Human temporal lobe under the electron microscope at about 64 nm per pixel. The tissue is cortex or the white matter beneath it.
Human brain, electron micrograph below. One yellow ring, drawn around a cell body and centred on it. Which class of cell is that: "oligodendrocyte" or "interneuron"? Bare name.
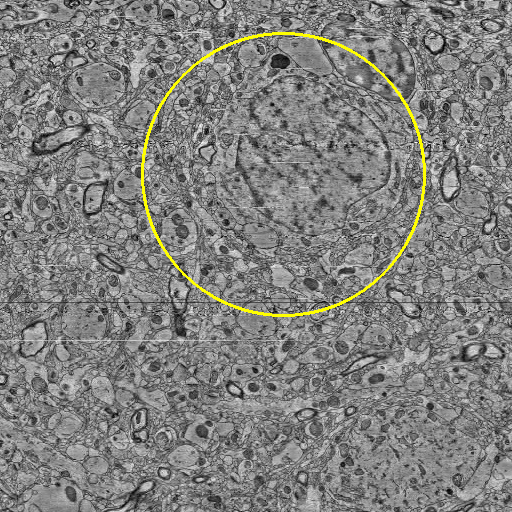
interneuron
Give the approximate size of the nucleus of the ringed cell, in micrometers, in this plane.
About 10 micrometres across in this plane.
